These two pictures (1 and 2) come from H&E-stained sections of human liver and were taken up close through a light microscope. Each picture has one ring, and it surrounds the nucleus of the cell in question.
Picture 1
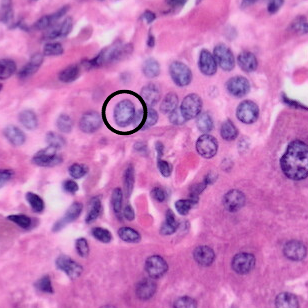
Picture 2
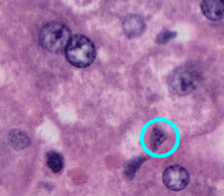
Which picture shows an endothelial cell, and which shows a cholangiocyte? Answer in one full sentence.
Picture 2 shows an endothelial cell, while picture 1 shows a cholangiocyte.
